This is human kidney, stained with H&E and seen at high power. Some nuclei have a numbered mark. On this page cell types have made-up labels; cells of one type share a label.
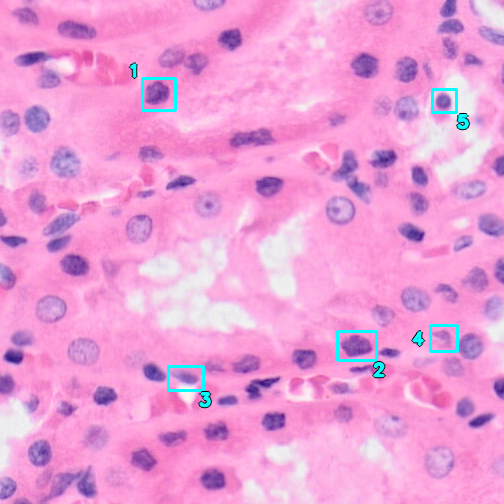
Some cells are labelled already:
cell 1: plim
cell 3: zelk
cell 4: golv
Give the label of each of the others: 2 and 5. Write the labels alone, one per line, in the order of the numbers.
plim
golv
